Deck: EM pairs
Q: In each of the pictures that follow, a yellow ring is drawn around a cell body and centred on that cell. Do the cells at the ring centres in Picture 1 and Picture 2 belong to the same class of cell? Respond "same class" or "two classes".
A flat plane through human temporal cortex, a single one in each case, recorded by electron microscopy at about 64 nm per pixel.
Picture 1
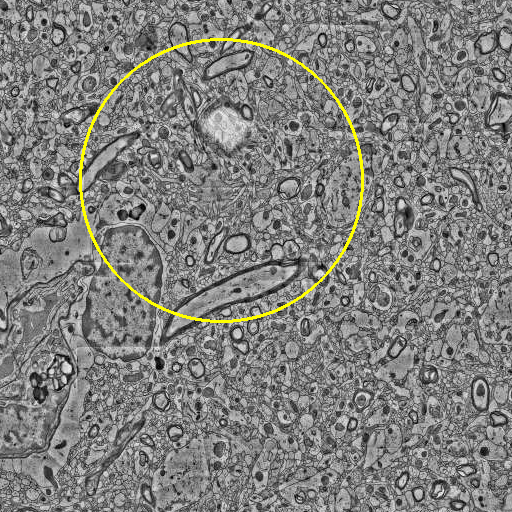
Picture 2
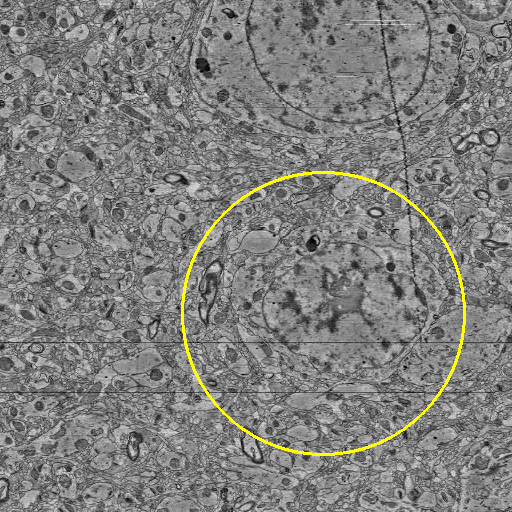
two classes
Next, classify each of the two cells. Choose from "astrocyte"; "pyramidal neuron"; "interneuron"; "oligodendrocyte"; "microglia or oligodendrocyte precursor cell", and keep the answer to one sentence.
In the first picture it is an oligodendrocyte; in the second it is an interneuron.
